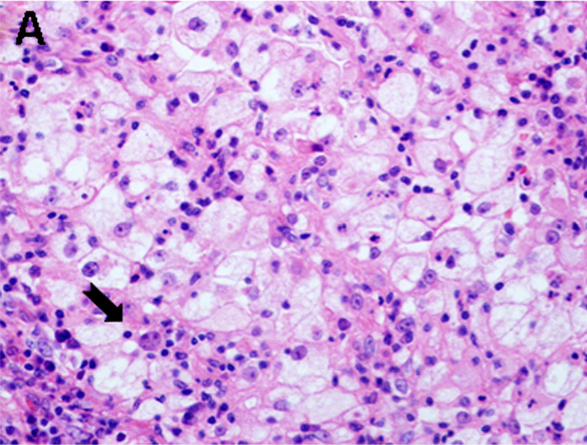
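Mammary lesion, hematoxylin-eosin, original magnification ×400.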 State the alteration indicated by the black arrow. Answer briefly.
emperipolesis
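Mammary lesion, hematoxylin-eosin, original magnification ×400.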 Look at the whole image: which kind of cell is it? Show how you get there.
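Histiocytes. Many very large cells with abundant pale pink, finely vacuolated cytoplasm. Their nuclei are large and round with open chromatin and visible nucleoli. Small dark round cells lie scattered between the large cells.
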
